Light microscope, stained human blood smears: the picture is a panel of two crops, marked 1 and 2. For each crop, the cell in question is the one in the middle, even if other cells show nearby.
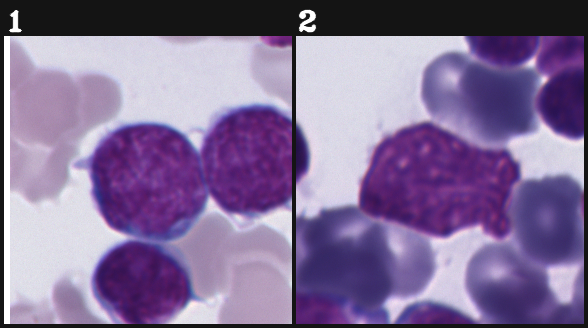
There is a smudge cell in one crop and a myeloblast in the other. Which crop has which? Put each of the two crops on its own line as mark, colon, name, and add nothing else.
1: myeloblast
2: smudge cell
